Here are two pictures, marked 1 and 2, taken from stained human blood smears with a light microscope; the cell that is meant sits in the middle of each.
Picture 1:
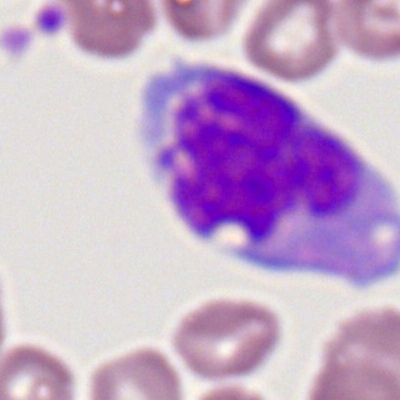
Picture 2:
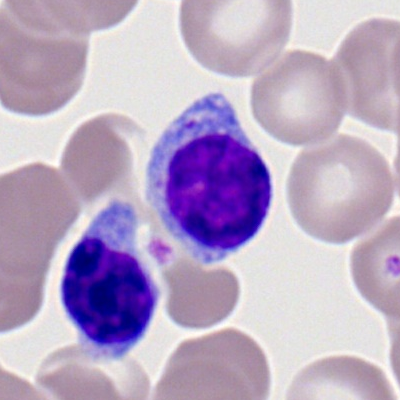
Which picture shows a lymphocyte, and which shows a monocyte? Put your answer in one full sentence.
The cell in picture 1 is a monocyte, and the one in picture 2 is a lymphocyte.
